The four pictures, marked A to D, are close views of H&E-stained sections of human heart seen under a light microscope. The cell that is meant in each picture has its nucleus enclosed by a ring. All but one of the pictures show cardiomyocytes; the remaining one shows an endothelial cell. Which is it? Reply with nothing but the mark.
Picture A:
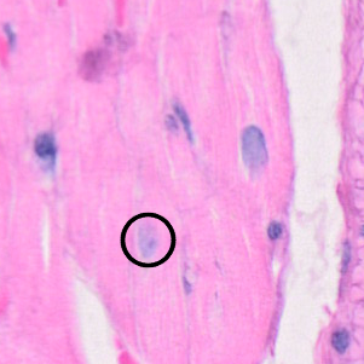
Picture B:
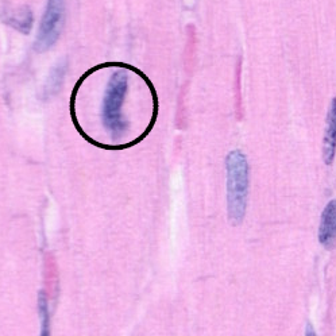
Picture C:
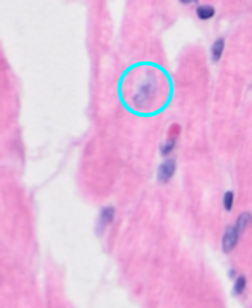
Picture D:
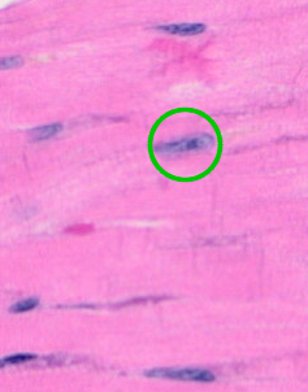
B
